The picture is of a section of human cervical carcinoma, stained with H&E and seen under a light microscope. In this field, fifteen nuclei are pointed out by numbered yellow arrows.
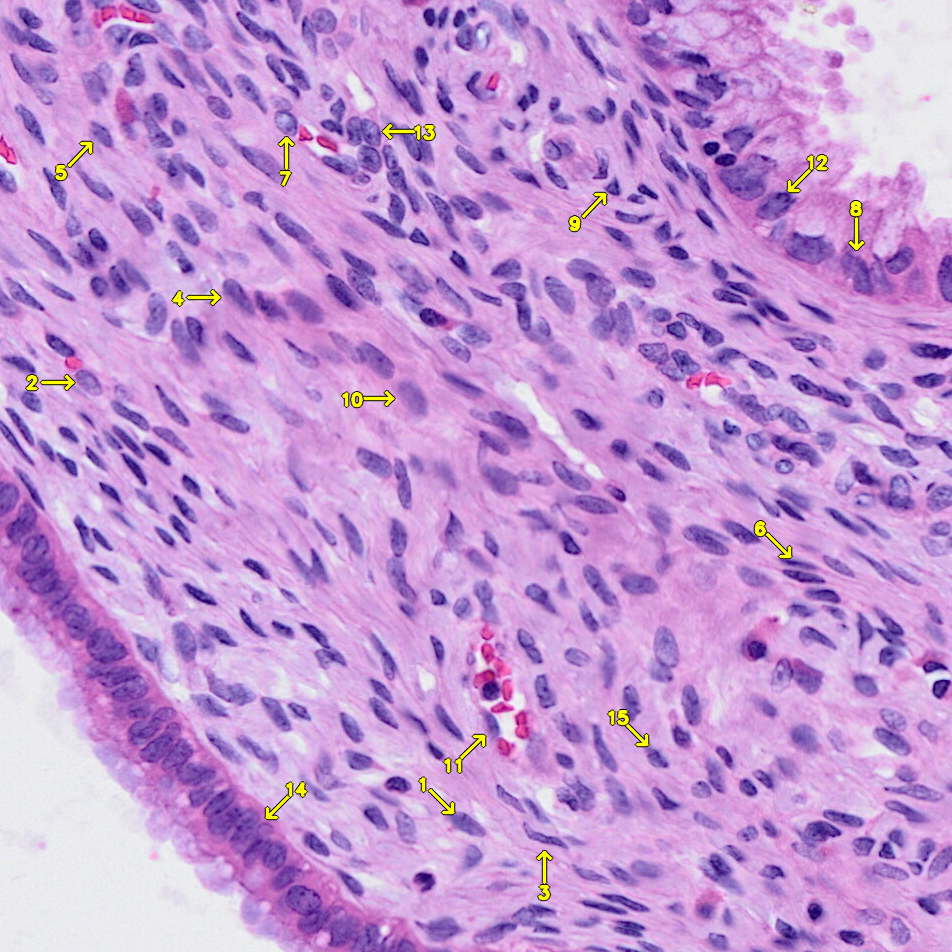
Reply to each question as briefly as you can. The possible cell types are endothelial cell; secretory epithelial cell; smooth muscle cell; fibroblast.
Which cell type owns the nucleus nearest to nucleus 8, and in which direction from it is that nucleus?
a secretory epithelial cell, to the right of nucleus 8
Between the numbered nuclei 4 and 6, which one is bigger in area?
4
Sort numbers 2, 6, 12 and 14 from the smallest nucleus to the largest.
6, 2, 12, 14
